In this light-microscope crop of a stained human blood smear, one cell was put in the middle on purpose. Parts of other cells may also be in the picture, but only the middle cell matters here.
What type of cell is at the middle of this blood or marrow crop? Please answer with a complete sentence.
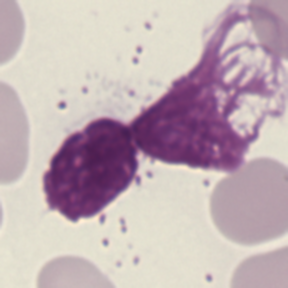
Framed in the middle of the crop is a smudge cell.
